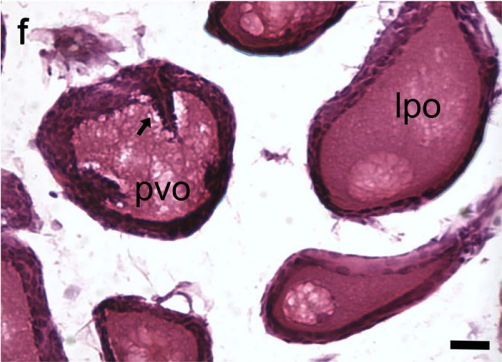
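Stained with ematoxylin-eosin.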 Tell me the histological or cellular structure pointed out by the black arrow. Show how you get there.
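Invagination. The arrow points to a dark fold of the oocyte's cellular envelope that pushes inward into the oocyte. The fold extends from the surrounding dark rim into the pale, vacuolated cytoplasm.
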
